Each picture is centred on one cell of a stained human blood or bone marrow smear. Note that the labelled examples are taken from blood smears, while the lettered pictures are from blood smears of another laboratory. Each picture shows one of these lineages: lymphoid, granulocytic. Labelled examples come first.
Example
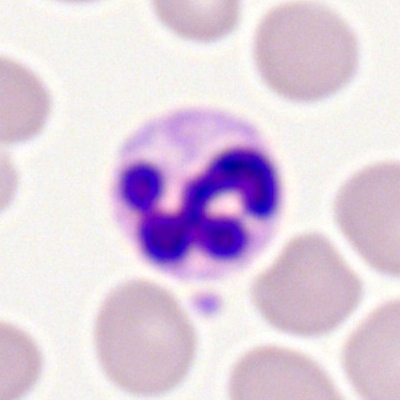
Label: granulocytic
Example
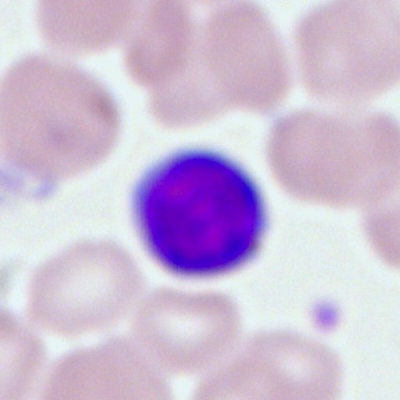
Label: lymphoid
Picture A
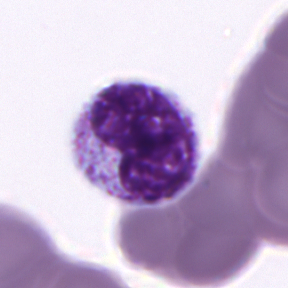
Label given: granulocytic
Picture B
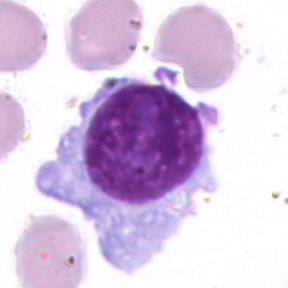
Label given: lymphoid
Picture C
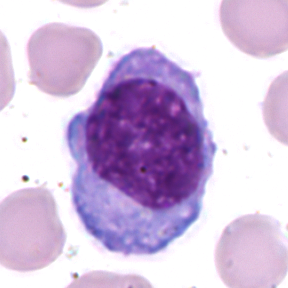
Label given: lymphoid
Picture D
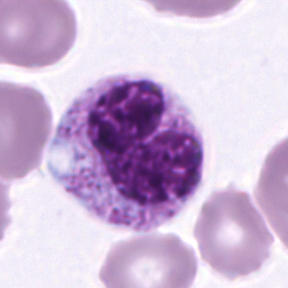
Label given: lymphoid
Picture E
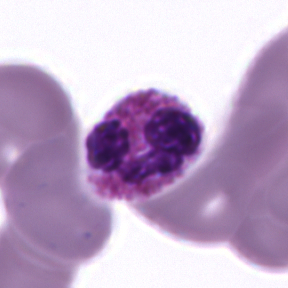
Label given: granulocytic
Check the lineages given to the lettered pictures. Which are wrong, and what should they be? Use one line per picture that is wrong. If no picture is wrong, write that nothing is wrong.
D: not lymphoid but granulocytic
